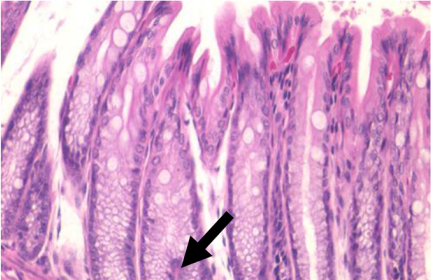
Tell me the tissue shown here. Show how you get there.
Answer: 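Straight tubular crypts run parallel to one another, without villi. The crypts are lined by columnar epithelium with many pale goblet cells.
Colonic mucosa.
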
